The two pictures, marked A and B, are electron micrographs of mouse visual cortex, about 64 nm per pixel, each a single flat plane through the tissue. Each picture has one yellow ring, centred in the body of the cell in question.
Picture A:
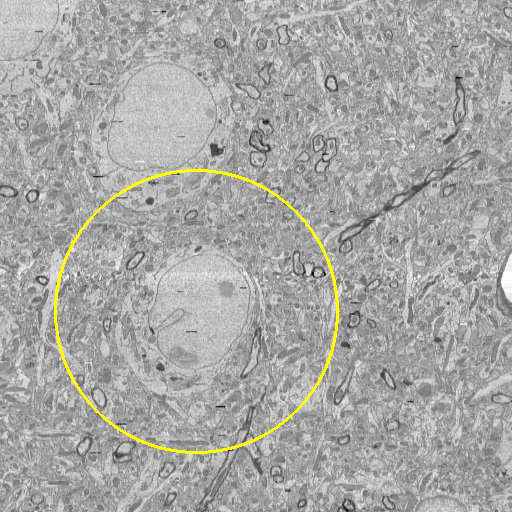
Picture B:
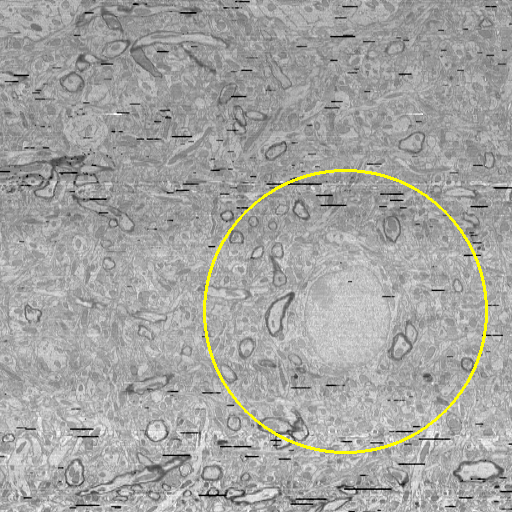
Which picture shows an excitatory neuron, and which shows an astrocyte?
Picture A is of an excitatory neuron, and picture B is of an astrocyte.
